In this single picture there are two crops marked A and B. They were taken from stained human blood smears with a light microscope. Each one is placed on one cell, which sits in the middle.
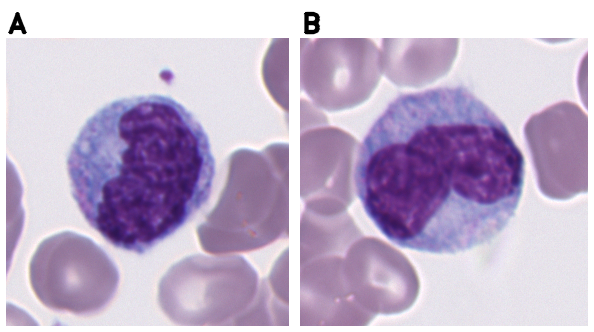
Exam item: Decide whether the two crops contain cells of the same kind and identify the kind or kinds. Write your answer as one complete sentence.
Yes, what both crops show at their centres are monocytes.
